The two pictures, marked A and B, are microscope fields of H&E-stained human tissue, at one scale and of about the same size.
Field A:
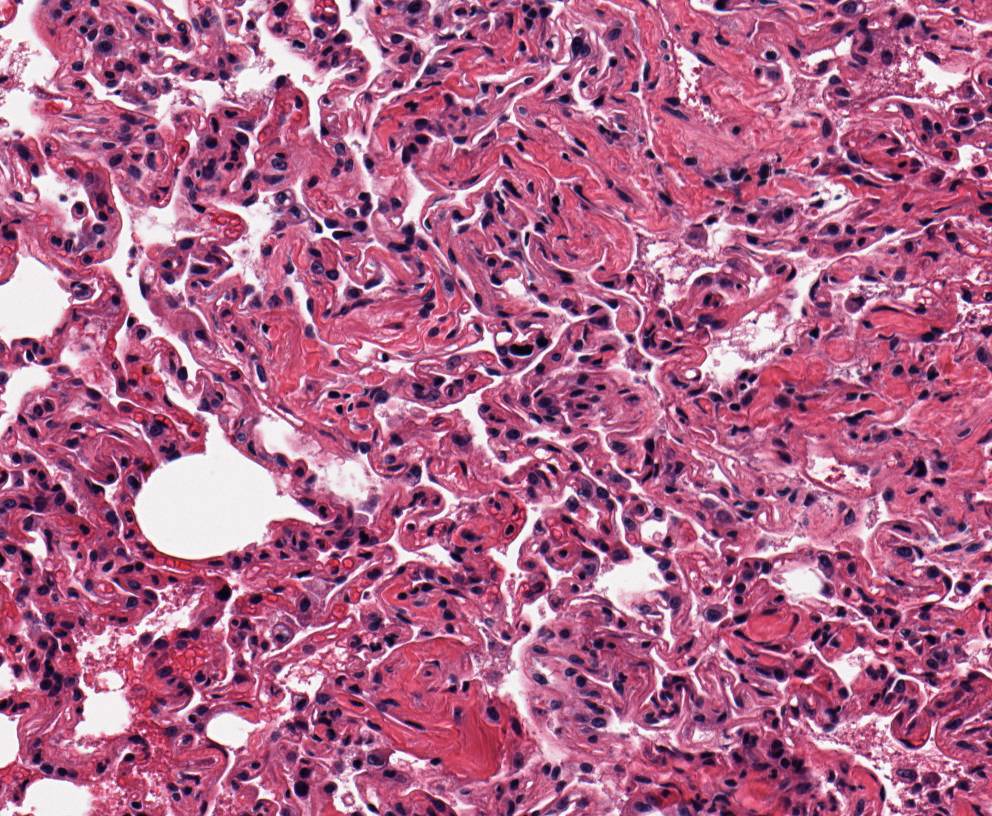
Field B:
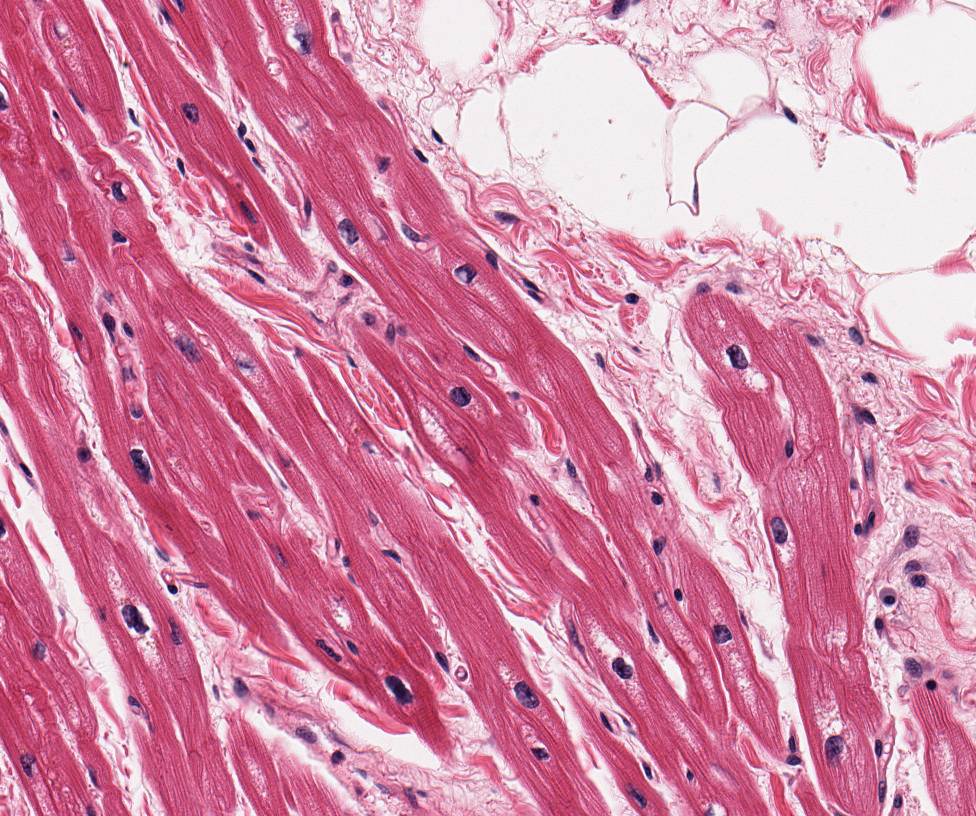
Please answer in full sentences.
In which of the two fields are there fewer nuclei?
Field B holds fewer nuclei than field A.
